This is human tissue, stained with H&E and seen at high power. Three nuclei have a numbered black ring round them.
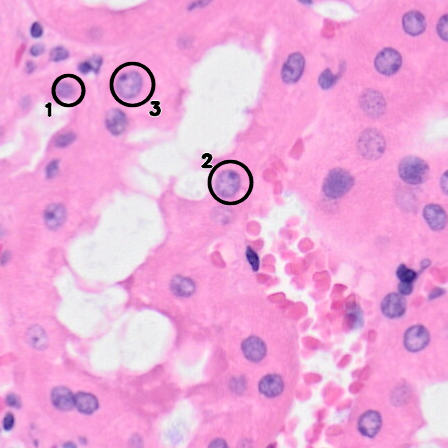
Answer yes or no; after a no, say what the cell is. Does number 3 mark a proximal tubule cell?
Yes.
